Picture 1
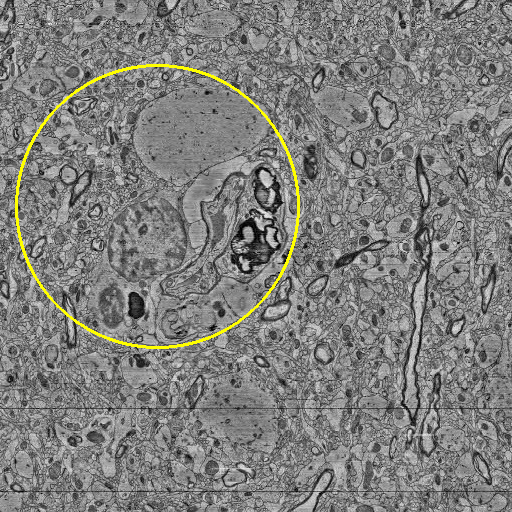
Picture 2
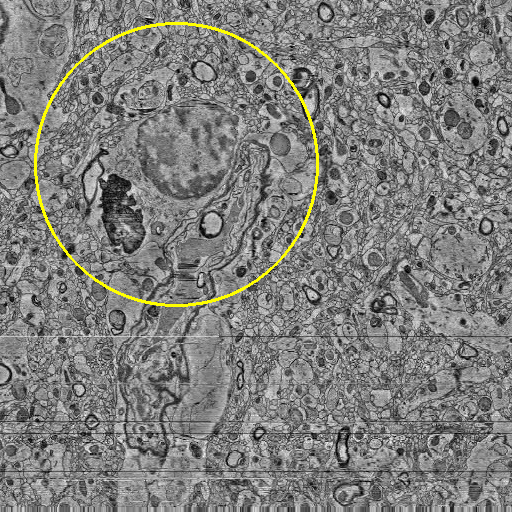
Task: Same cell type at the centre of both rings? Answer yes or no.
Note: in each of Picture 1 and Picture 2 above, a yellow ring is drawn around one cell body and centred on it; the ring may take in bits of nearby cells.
yes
